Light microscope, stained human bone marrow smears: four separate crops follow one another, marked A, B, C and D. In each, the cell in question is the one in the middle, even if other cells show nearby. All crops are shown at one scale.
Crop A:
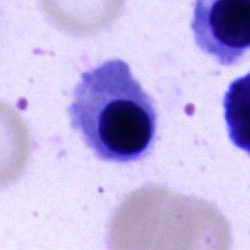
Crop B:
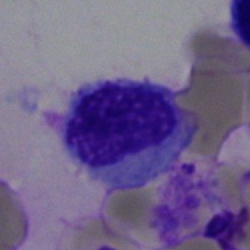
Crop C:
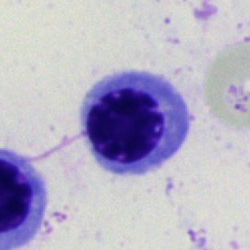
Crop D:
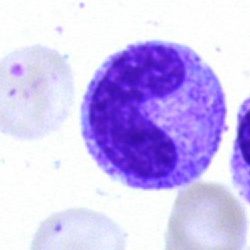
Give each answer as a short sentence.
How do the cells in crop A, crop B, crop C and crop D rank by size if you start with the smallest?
From the smallest up, the order is A, C, B, D.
